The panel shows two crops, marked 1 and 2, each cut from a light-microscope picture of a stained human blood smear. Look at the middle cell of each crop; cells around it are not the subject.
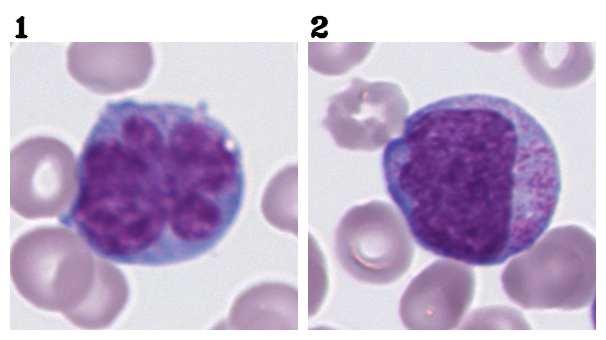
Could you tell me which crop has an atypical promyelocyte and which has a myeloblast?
1: myeloblast
2: atypical promyelocyte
